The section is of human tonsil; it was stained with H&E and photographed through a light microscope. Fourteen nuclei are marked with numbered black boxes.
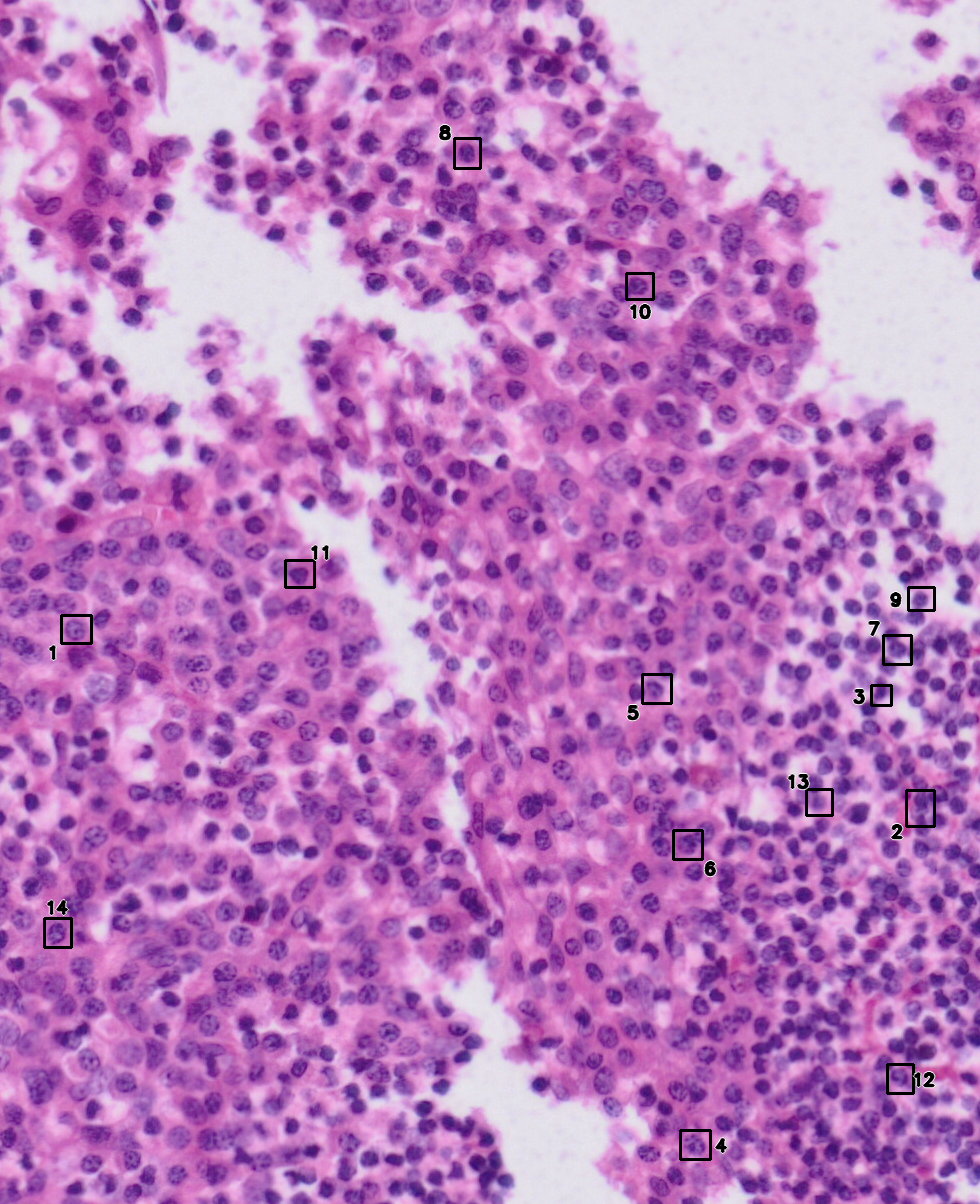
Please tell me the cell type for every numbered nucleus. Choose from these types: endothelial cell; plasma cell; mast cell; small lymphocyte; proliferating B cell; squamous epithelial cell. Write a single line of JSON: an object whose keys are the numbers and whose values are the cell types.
{"1": "plasma cell", "2": "small lymphocyte", "3": "small lymphocyte", "4": "plasma cell", "5": "plasma cell", "6": "plasma cell", "7": "small lymphocyte", "8": "plasma cell", "9": "small lymphocyte", "10": "plasma cell", "11": "plasma cell", "12": "small lymphocyte", "13": "small lymphocyte", "14": "plasma cell"}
